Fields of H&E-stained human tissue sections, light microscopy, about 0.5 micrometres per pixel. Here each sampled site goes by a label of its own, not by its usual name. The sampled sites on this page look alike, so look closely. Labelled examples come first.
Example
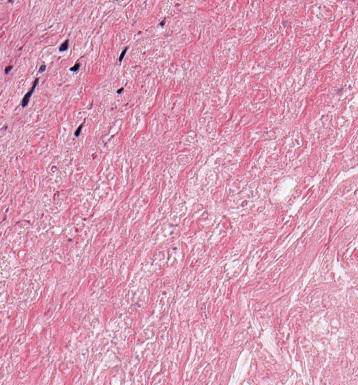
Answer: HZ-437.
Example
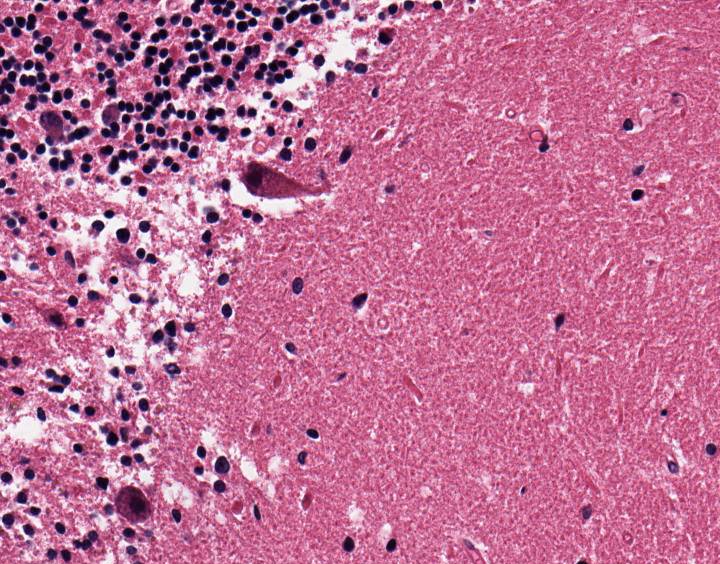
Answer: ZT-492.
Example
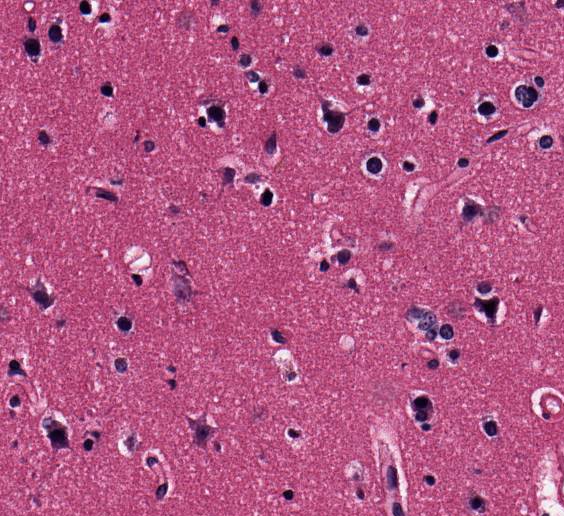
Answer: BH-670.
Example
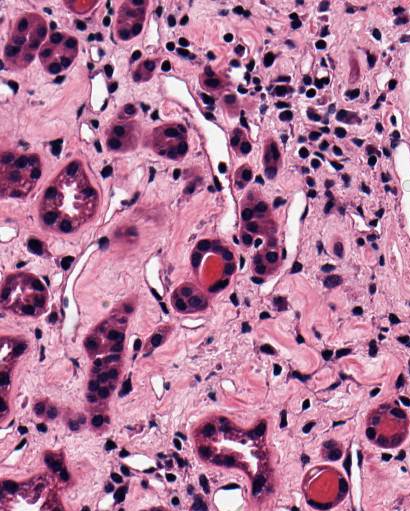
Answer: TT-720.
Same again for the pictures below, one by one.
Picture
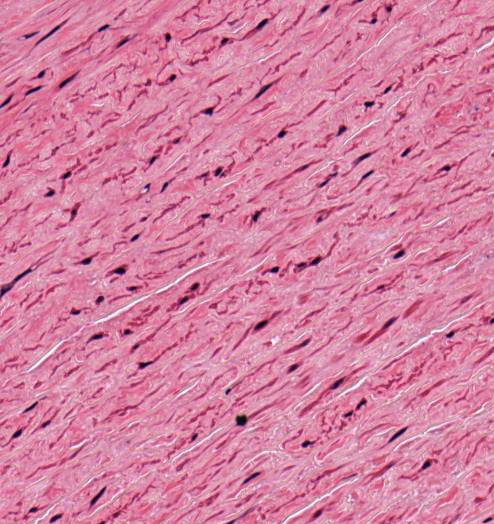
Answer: HZ-437.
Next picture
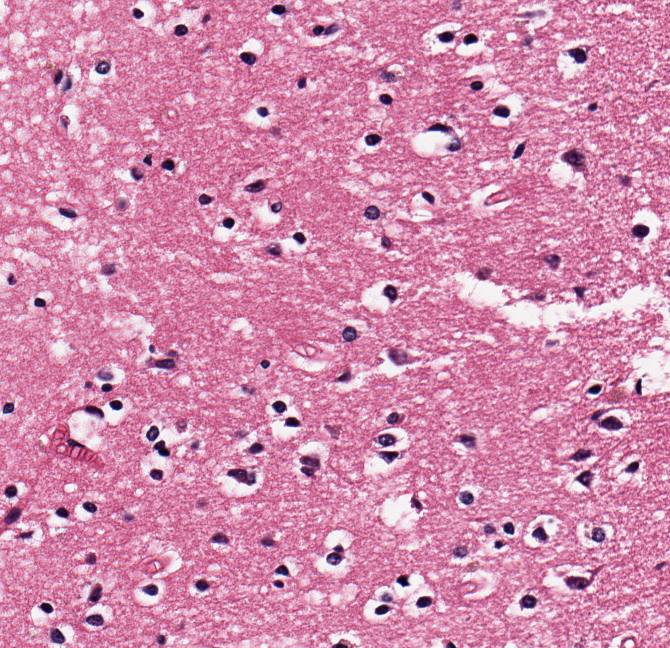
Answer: BH-670.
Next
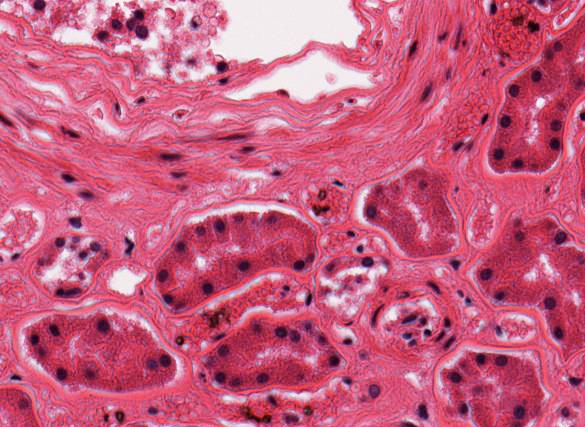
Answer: TT-720.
